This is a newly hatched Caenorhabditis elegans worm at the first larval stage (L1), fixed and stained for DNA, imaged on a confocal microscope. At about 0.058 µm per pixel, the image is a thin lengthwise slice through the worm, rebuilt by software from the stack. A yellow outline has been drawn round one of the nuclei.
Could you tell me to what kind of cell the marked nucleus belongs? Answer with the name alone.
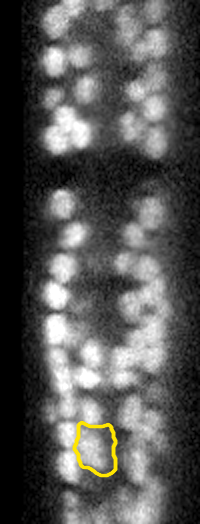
pharyngeal muscle cell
